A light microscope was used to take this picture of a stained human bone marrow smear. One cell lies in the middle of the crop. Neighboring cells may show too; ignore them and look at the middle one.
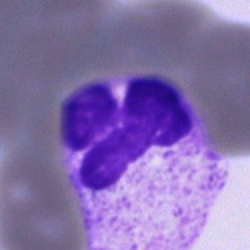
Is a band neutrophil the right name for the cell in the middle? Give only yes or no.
no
